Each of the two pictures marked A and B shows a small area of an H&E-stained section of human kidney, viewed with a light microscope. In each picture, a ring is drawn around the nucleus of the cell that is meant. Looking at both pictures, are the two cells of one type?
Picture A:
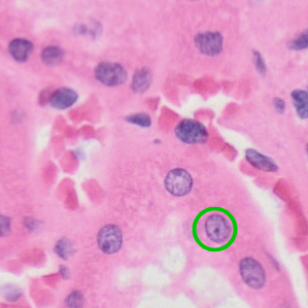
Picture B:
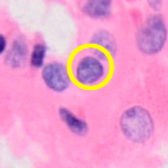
no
